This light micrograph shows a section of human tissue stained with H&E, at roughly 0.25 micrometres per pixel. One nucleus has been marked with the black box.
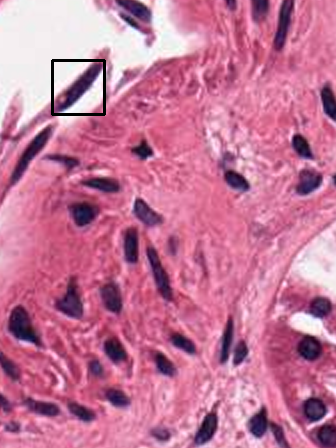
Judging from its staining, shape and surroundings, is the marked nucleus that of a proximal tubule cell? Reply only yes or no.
no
